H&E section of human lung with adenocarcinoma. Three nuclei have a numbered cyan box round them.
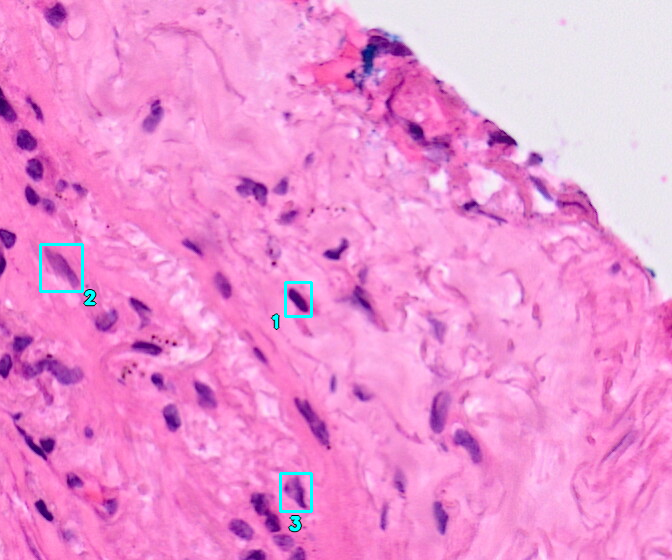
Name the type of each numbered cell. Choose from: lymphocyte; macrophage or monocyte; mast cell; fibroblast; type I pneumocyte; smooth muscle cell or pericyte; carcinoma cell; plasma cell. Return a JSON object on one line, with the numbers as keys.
{"1": "mast cell", "2": "fibroblast", "3": "fibroblast"}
